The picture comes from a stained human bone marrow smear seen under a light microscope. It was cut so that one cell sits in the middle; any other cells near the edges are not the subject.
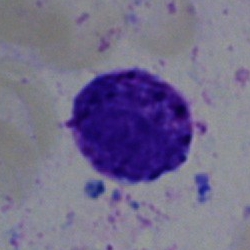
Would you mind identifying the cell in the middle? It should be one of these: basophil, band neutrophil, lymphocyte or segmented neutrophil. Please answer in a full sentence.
This crop's central cell is a basophil.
